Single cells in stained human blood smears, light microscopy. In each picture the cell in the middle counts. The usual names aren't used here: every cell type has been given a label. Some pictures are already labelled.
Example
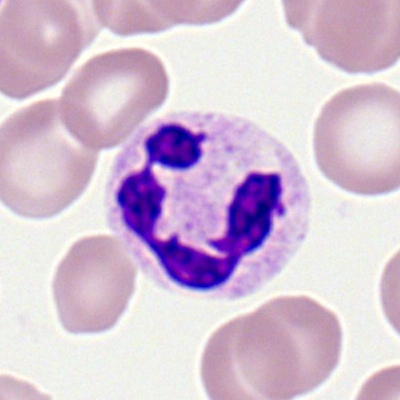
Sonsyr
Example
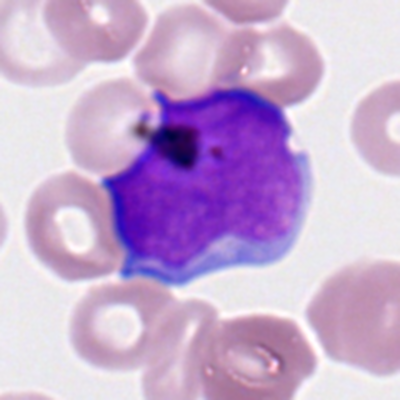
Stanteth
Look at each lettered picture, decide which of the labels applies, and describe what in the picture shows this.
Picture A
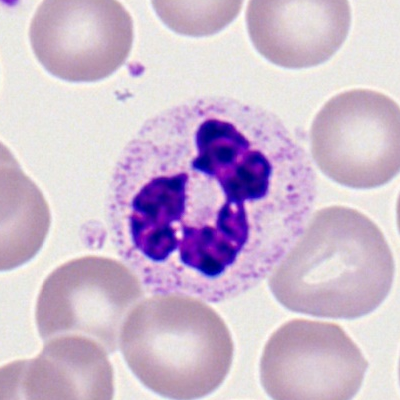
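Sonsyr. The cytoplasm is abundant and pale pinkish-lilac.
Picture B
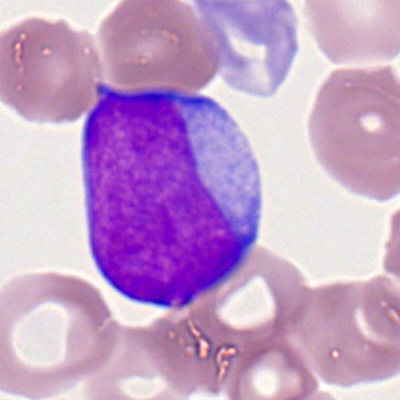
Stanteth. The nucleus is a single unlobed mass.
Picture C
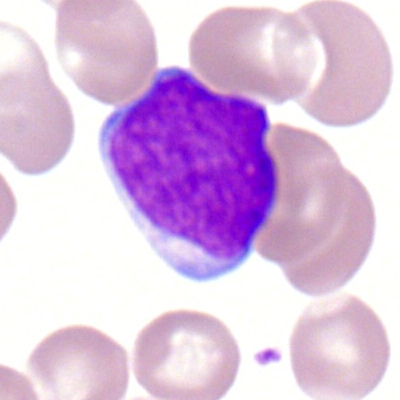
Stanteth. The nucleus fills most of the cell.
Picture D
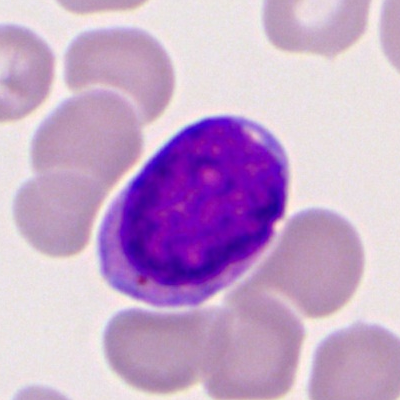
Stanteth. The nucleus fills most of the cell, leaving a scant rim of cytoplasm that is widest at the lower left.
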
